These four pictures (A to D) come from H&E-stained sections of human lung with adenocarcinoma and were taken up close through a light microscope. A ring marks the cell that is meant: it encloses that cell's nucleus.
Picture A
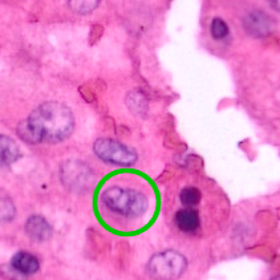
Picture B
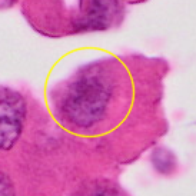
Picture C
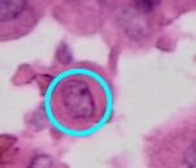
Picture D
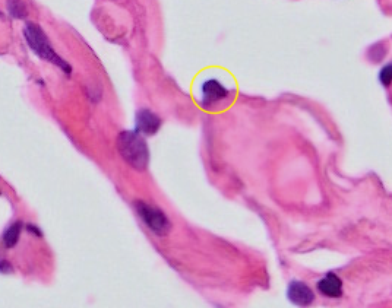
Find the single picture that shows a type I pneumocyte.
D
